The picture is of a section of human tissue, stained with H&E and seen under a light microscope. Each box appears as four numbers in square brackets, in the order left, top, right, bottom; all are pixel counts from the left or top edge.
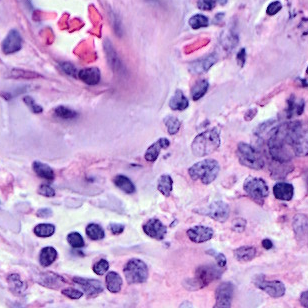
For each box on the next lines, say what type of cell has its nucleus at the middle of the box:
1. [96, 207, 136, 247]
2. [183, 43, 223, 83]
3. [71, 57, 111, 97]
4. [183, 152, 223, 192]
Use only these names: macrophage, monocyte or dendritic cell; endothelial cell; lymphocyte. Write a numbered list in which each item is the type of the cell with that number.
1. lymphocyte
2. endothelial cell
3. endothelial cell
4. macrophage, monocyte or dendritic cell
